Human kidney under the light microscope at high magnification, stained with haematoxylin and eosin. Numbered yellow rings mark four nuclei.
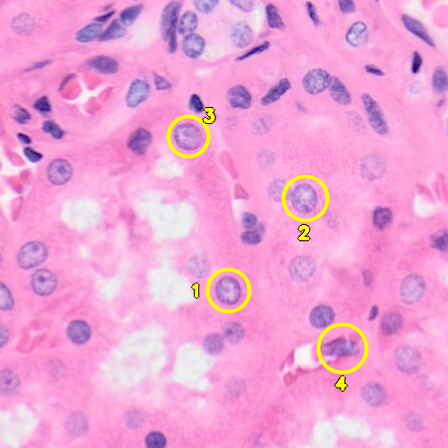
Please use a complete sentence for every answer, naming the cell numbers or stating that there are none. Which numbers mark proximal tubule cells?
The cells numbered 1, 2 and 3 are typed as proximal tubule cells.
